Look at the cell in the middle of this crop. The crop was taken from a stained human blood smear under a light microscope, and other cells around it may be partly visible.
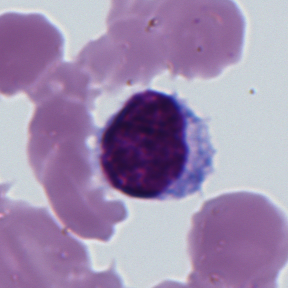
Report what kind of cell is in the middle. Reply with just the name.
hairy cell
